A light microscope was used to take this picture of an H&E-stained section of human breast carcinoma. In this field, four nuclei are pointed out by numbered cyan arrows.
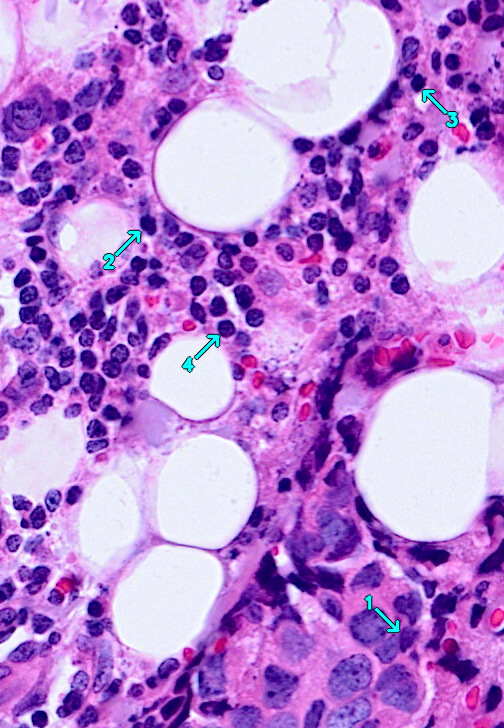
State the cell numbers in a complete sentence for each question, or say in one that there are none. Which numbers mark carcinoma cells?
Only the cell numbered 1 is a carcinoma cell; none of the others is.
